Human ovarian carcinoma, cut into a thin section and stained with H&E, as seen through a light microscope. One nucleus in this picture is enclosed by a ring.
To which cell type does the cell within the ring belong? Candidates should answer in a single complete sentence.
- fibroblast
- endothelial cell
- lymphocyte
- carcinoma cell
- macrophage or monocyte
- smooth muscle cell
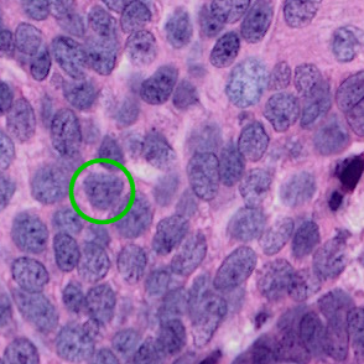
The correct response here is that the cell within the ring is a carcinoma cell.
